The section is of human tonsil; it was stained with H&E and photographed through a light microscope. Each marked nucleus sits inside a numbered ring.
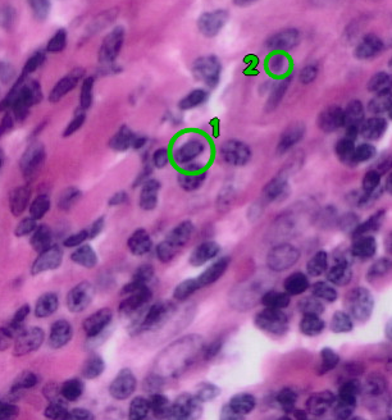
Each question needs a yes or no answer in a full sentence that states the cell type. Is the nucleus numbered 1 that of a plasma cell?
Yes, it is a plasma cell that number 1 identifies.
